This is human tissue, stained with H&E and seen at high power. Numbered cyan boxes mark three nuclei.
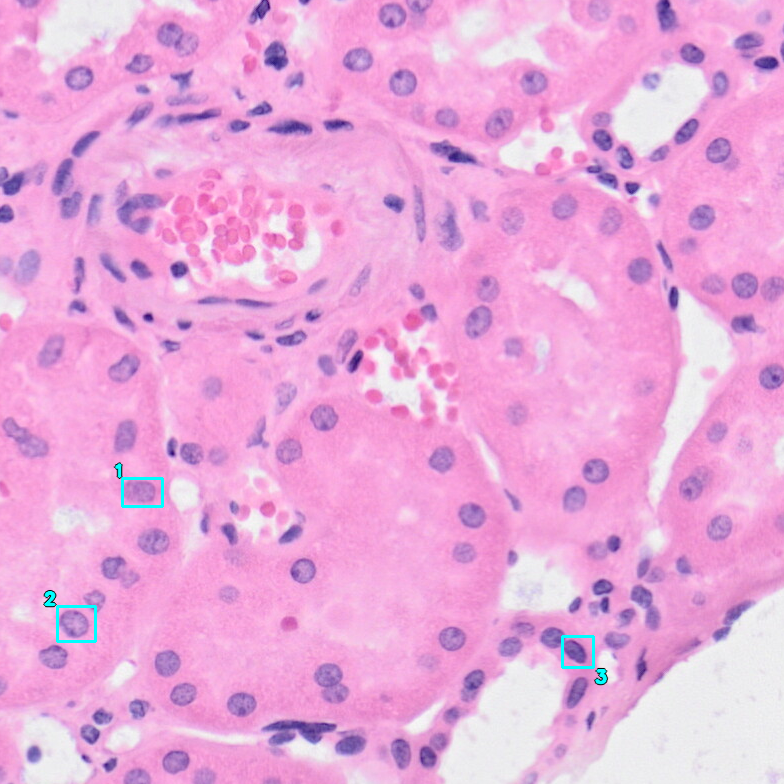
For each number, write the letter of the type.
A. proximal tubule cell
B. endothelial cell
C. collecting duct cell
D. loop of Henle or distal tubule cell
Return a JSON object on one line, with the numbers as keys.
{"1": "A", "2": "A", "3": "C"}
